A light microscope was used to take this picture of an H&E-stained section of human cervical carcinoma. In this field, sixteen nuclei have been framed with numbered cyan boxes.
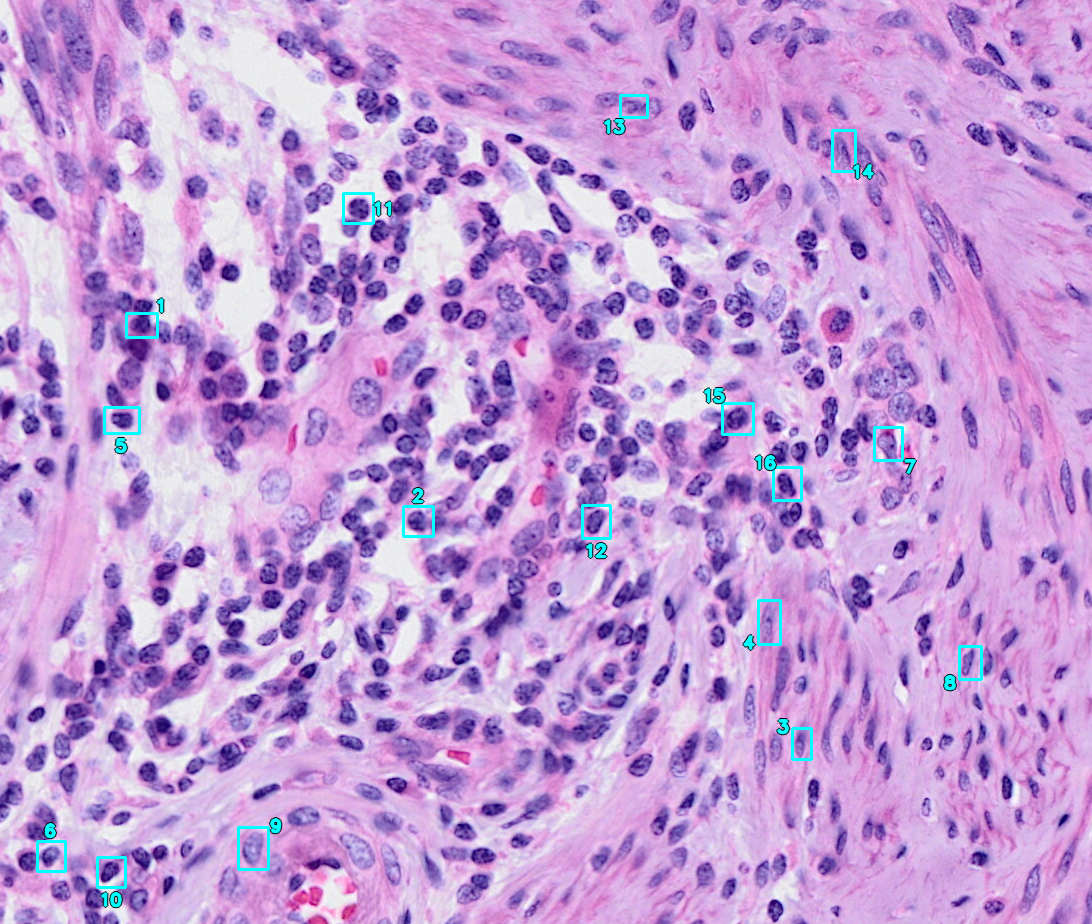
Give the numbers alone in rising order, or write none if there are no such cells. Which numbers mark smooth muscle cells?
3, 4, 8, 9, 13, 14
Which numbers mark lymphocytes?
1, 2, 5, 6, 10, 11, 12, 15, 16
